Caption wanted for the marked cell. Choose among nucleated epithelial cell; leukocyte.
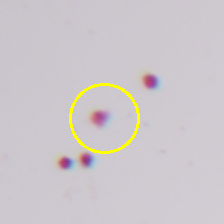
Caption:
Ringed in yellow is a leukocyte.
